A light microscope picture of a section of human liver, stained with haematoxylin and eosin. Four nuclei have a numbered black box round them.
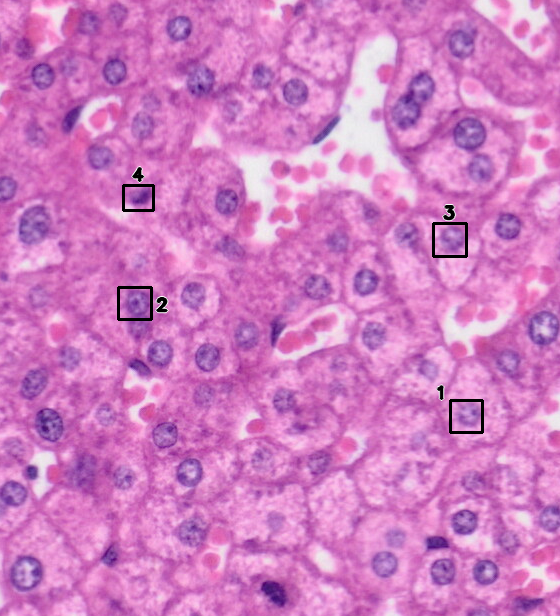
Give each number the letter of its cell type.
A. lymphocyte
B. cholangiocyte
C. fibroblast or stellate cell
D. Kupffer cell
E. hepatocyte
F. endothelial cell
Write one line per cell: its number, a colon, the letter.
1: E
2: E
3: E
4: C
